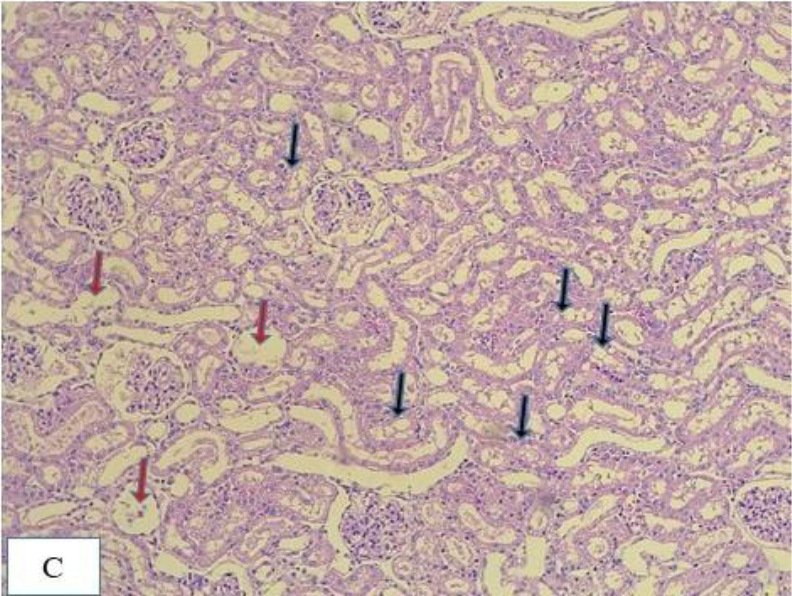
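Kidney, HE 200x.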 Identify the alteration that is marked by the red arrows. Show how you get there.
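The red arrows point at rounded tubules with very wide, clear lumens. The lining of these tubules is flattened against the widened lumen.
Answer: Tubule dilation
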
